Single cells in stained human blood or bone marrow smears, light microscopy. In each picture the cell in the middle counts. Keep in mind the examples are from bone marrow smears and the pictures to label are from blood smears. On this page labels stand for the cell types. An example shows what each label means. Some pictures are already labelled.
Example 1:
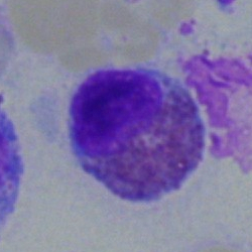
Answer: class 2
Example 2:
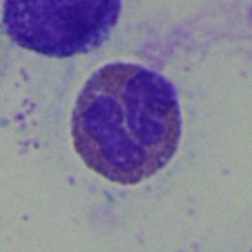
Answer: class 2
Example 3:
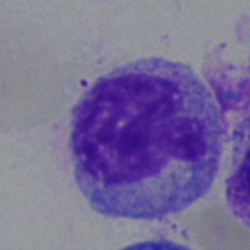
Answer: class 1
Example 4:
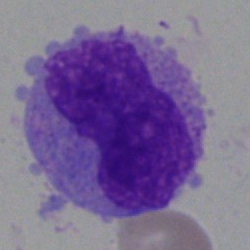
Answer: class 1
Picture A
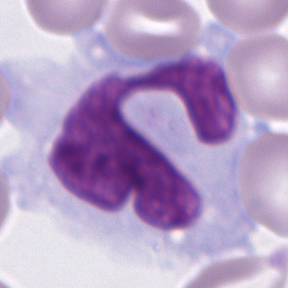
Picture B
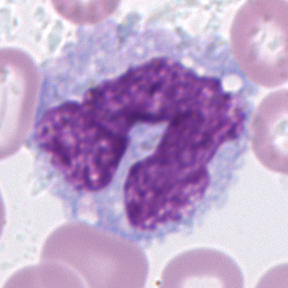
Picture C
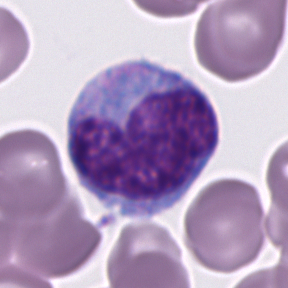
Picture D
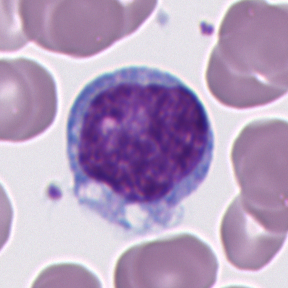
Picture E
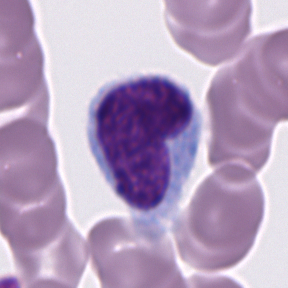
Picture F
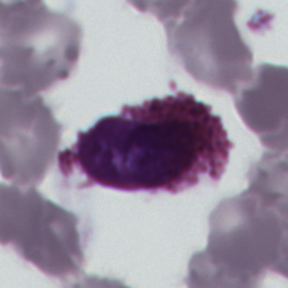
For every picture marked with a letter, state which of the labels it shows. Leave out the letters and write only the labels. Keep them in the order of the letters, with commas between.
class 1, class 1, class 1, class 1, class 1, class 2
